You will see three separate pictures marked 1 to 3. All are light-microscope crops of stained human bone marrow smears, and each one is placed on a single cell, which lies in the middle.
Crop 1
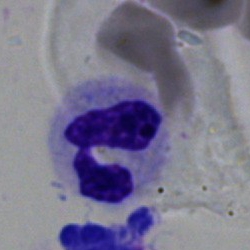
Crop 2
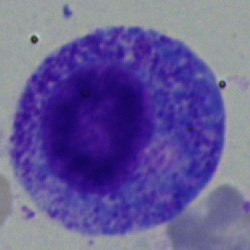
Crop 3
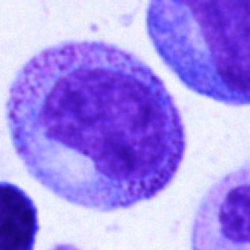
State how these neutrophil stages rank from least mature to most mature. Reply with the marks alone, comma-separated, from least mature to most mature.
2, 3, 1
